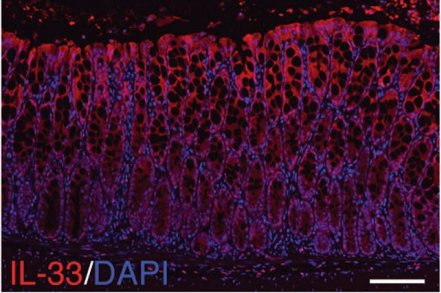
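This is the lining of the large intestine, made of straight tubular glands packed side by side under a flat surface, without villi. Thin strands of tissue with blue nuclei run between the glands, and a band of muscle lies beneath them at the bottom.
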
